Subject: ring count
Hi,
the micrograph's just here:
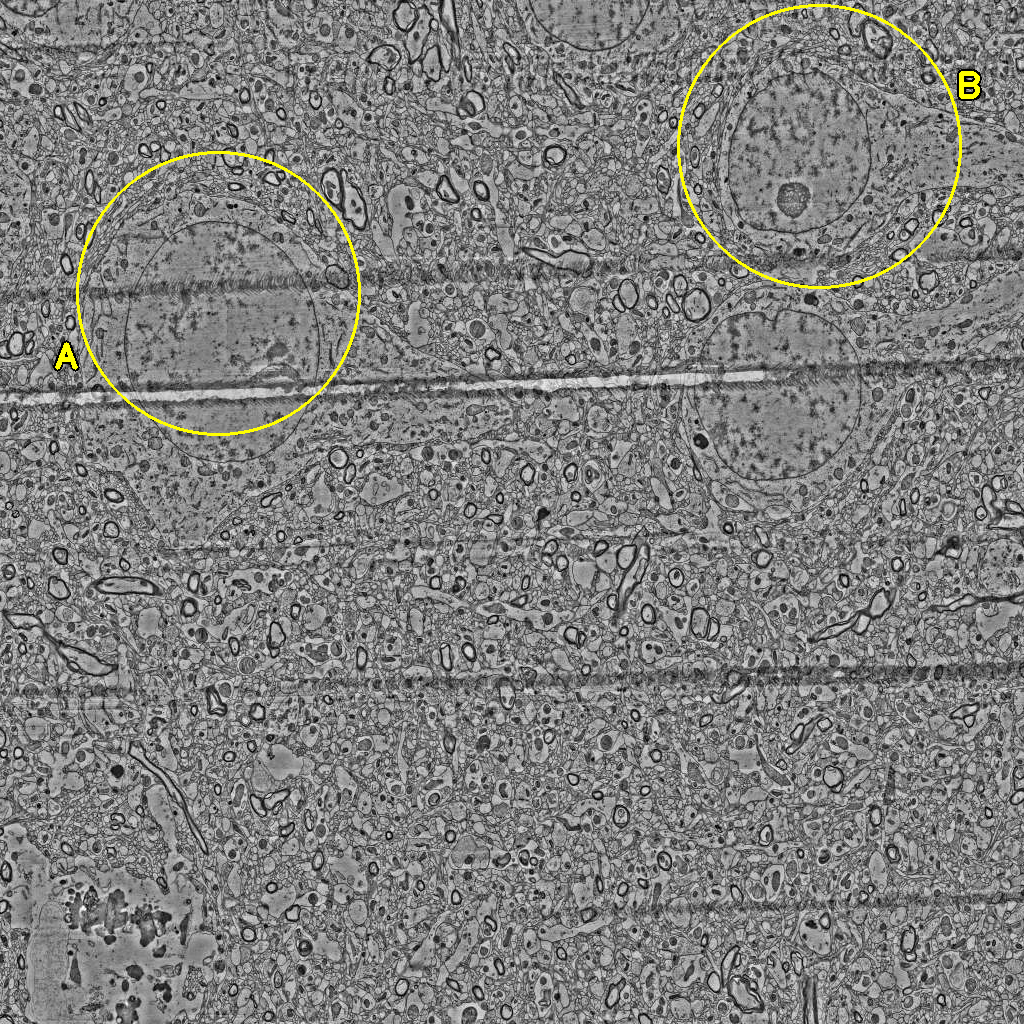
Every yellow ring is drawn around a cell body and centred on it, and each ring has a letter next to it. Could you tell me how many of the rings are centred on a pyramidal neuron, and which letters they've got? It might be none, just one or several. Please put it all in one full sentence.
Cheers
When the rings with the letters A and B are counted, they come to two, each centred on a pyramidal neuron.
